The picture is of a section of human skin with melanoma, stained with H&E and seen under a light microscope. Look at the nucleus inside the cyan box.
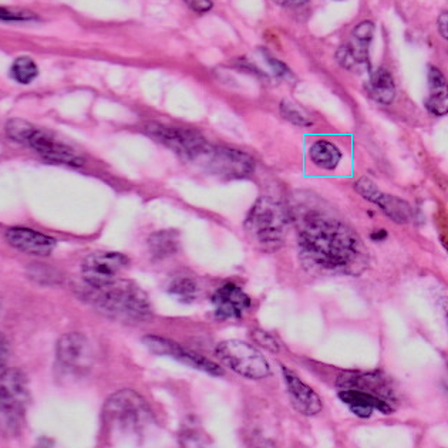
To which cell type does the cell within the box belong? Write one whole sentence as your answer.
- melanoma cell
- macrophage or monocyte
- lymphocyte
The identity of the cell within the box: it is a lymphocyte.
